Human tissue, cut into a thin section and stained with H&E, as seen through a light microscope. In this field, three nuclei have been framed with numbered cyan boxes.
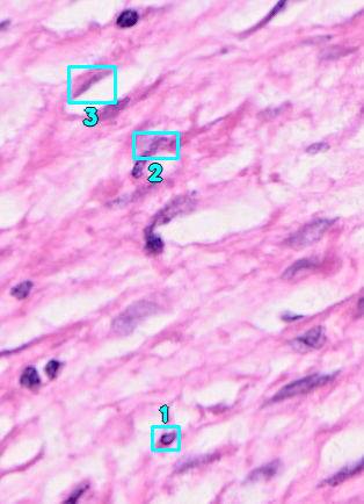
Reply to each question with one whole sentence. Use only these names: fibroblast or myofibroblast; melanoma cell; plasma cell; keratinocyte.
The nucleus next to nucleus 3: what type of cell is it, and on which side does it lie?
The closest nucleus belongs to a fibroblast or myofibroblast and sits below and to the right of nucleus 3.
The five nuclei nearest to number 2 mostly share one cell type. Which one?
The majority of the five nuclei closest to number 2 belong to fibroblasts or myofibroblasts.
